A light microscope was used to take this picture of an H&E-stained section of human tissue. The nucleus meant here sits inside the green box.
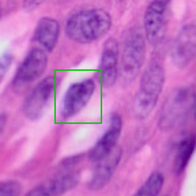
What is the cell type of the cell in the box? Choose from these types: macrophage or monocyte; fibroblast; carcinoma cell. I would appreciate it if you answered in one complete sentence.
So far as cell type goes, the cell in the box is a carcinoma cell.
